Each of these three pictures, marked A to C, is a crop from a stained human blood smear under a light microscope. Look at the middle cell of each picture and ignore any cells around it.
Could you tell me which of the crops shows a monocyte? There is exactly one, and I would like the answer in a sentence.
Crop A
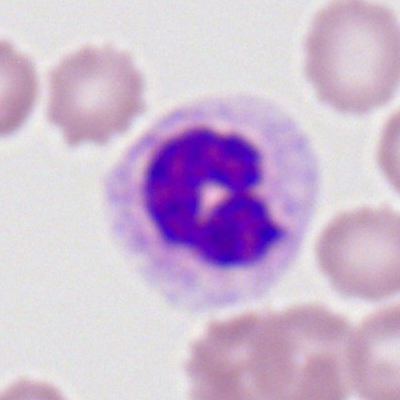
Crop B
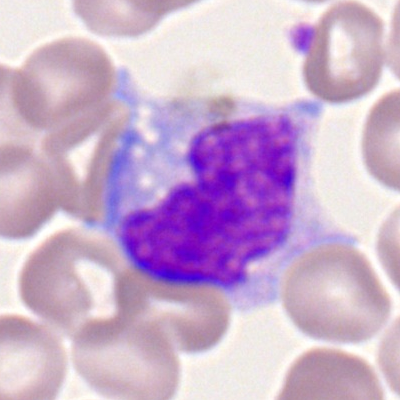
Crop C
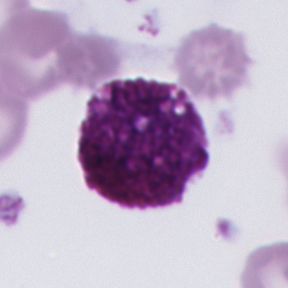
Crop B is the crop whose central cell is a monocyte.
